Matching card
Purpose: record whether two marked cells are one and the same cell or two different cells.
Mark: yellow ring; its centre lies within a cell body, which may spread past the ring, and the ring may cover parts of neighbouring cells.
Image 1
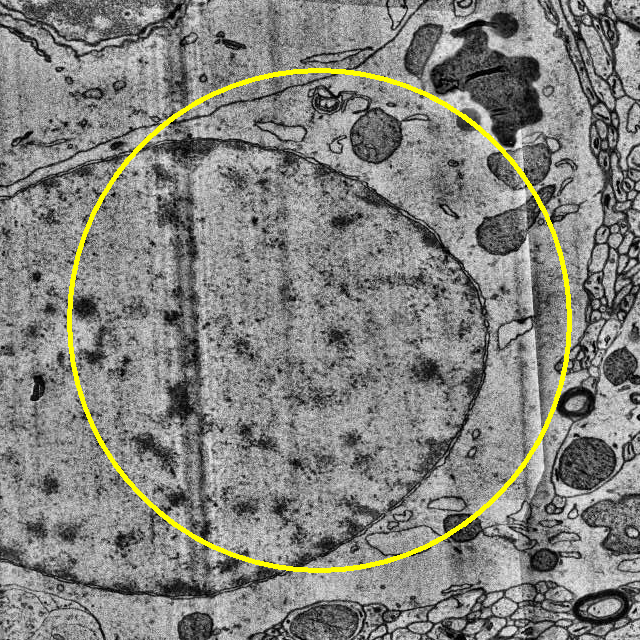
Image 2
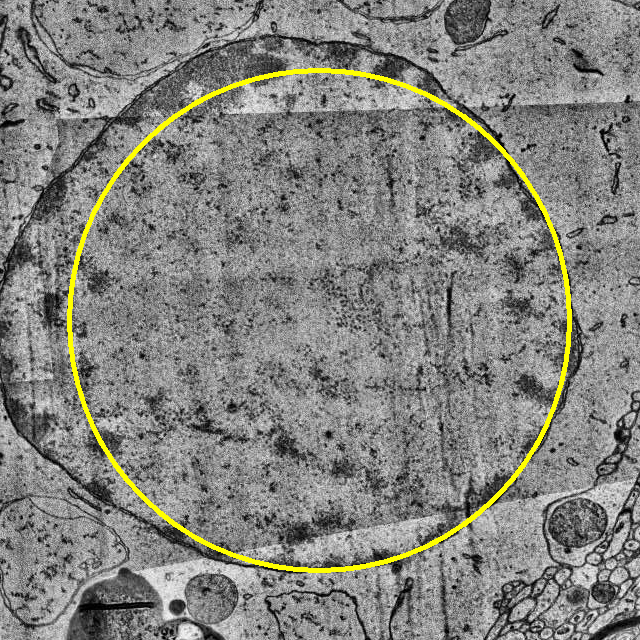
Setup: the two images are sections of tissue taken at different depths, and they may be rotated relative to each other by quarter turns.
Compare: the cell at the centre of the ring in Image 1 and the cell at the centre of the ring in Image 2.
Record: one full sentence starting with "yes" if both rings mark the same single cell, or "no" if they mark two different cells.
No, each yellow ring marks its own cell.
